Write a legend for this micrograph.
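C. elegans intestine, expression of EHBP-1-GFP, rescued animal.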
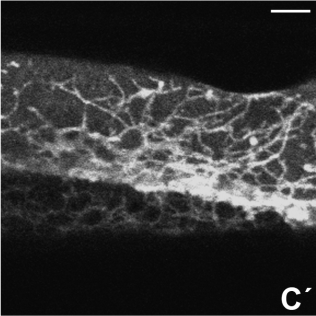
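The network is denser and brighter toward the lower, central part of the gut and thins out toward the upper edge. Between the threads lie darker, rounded areas of various sizes, but there are no large empty holes of the kind seen in vacuolated guts. Below the gut the field is dark.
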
